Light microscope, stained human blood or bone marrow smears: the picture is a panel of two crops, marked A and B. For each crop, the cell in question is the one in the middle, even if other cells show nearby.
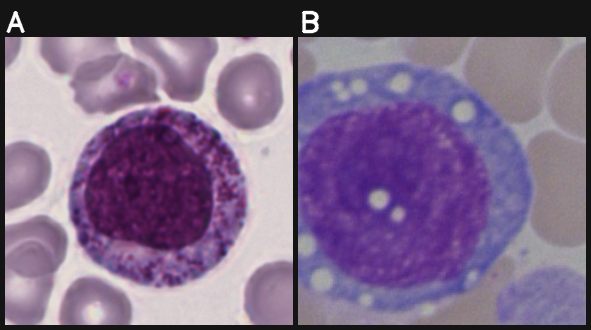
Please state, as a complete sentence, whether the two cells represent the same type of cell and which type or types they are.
No, enter a myelocyte for crop A and a blast for crop B.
